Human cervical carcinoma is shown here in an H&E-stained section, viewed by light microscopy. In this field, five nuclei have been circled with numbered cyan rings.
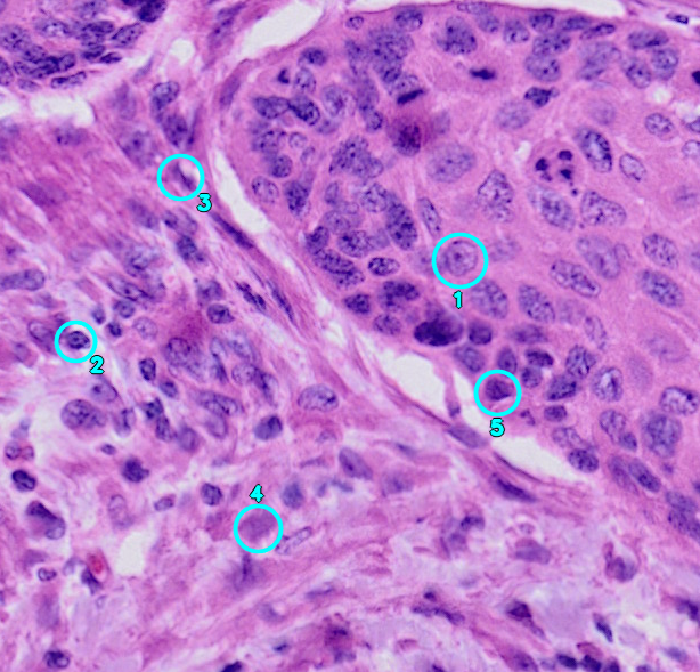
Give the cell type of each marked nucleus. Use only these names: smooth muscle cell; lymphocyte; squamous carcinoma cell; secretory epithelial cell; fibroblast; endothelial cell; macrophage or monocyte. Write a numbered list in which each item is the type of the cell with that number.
1. squamous carcinoma cell
2. lymphocyte
3. fibroblast
4. fibroblast
5. squamous carcinoma cell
